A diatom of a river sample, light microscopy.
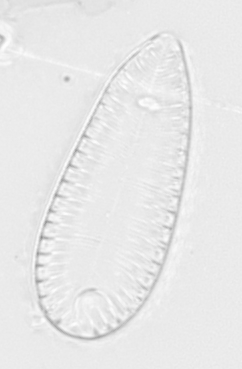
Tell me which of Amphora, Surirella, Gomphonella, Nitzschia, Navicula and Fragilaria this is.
The picture shows Surirella.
